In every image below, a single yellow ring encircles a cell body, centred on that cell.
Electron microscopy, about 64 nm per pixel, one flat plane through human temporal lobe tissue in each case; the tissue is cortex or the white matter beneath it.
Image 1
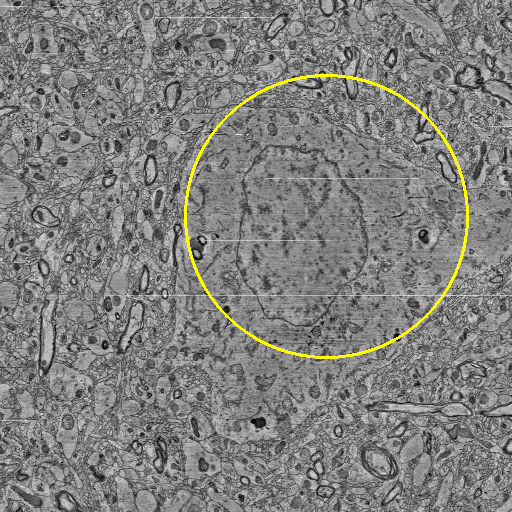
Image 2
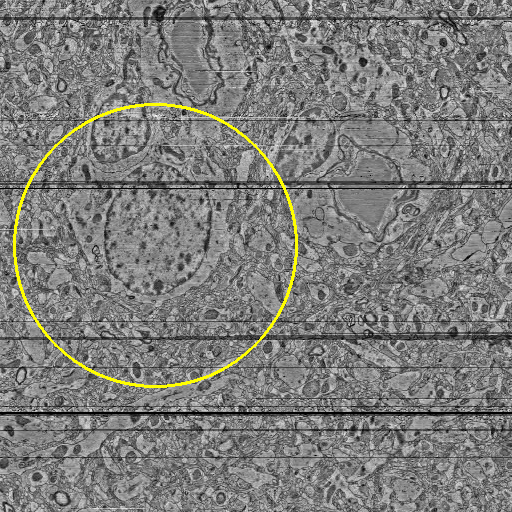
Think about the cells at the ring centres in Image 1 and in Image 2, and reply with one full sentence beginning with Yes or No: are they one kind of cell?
No, the cells centred in the rings of Image 1 and Image 2 are two kinds of cell.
